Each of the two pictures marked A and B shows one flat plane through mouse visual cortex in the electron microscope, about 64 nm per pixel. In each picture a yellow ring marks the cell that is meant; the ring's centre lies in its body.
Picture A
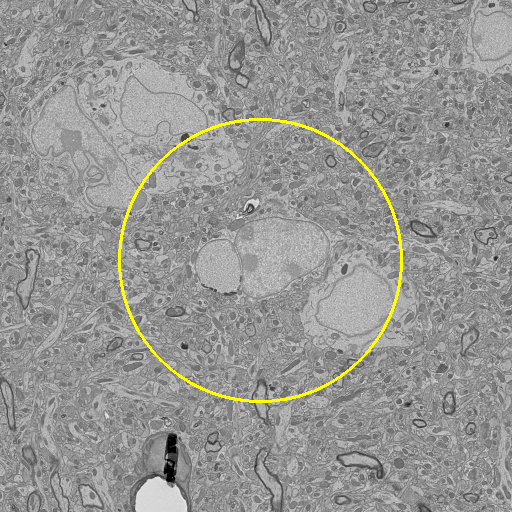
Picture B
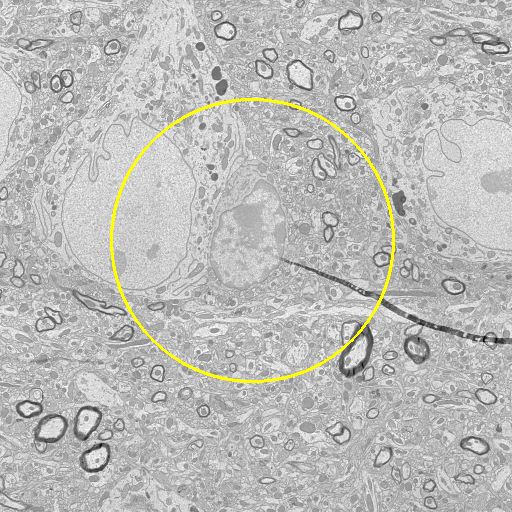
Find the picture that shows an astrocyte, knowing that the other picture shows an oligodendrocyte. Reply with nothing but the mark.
A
